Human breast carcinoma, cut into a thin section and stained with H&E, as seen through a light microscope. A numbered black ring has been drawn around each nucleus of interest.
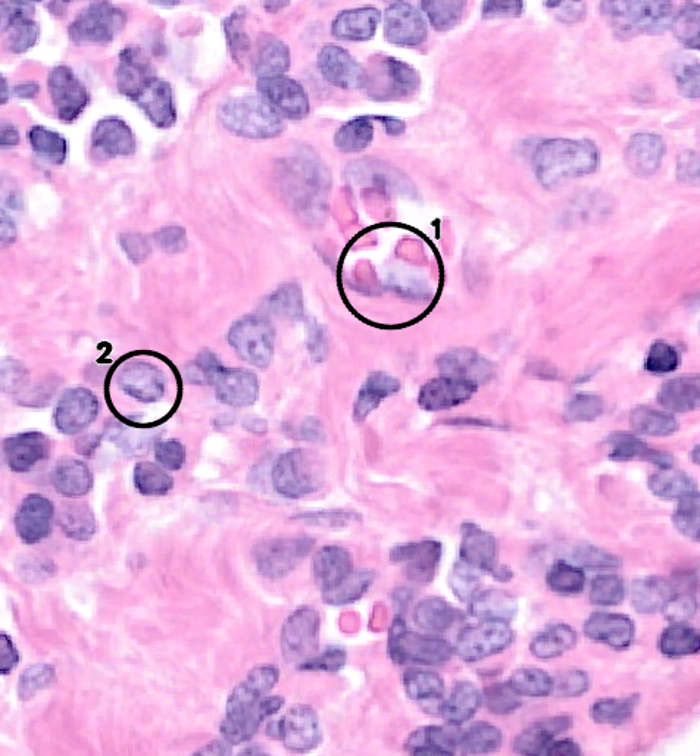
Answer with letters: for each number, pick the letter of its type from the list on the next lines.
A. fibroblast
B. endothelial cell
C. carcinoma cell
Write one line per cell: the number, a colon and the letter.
1: B
2: C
